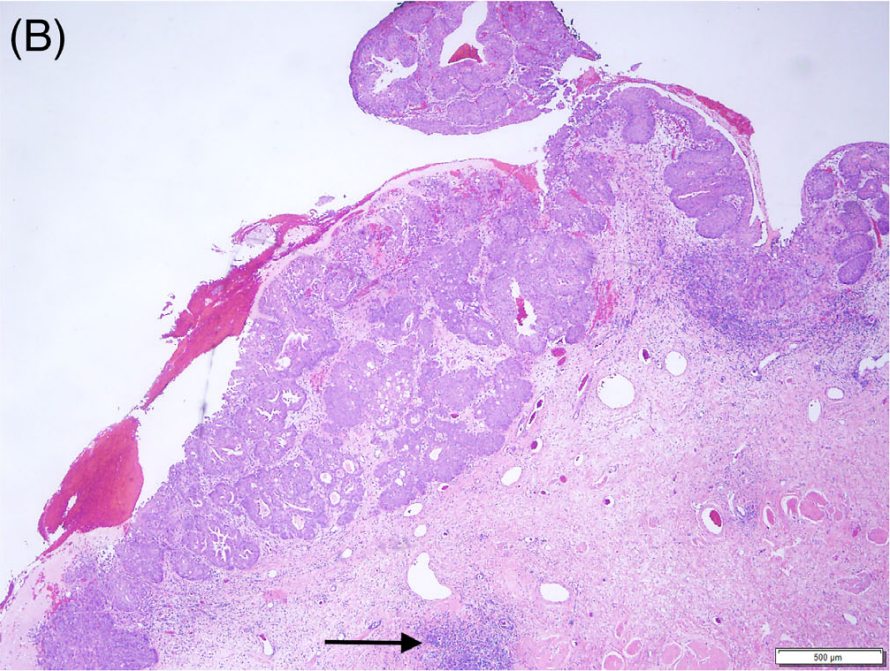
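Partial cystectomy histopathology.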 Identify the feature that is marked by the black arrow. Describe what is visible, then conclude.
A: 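The arrow points to a dense rounded cluster of small dark-staining round cells in the stroma. On this evidence: A lymphoid follicle.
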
